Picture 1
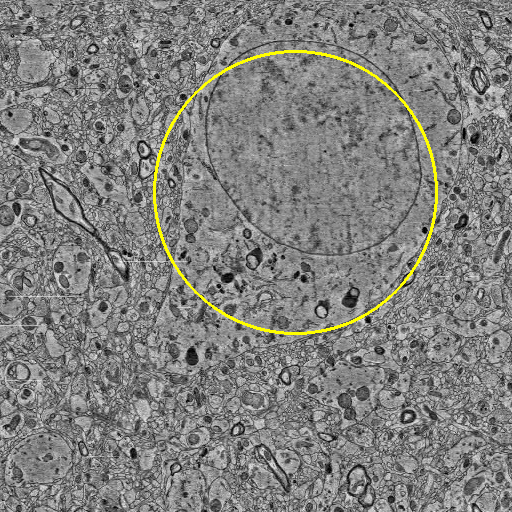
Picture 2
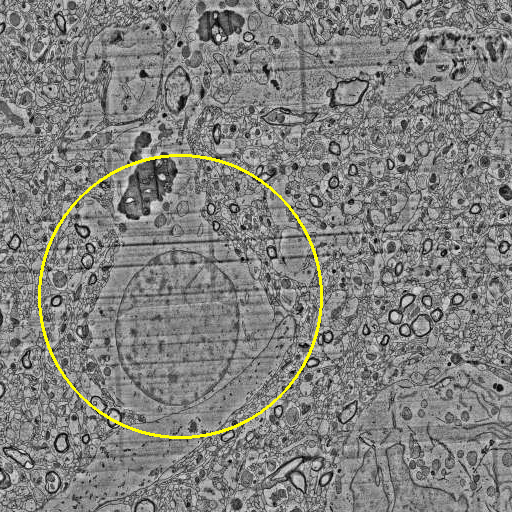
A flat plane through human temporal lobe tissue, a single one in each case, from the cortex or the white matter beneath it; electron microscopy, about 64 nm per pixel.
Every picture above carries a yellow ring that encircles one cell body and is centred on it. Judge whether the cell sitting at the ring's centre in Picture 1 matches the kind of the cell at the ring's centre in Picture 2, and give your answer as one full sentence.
No, the cells centred in the rings of Pictures 1 and 2 belong to two kinds.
